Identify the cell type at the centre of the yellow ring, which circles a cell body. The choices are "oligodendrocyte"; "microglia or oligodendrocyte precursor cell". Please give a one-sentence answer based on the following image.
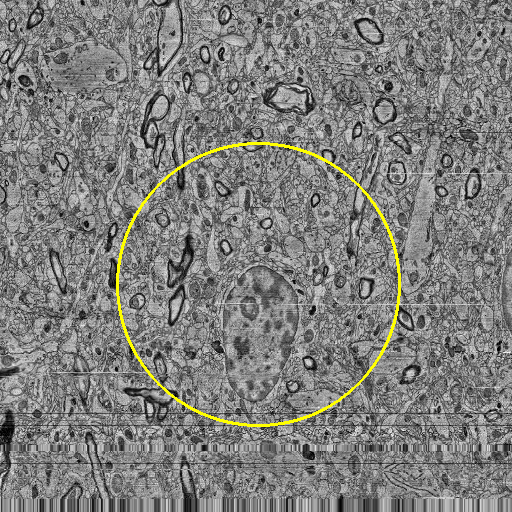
The cell marked by the ring is a microglial cell or oligodendrocyte precursor cell.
